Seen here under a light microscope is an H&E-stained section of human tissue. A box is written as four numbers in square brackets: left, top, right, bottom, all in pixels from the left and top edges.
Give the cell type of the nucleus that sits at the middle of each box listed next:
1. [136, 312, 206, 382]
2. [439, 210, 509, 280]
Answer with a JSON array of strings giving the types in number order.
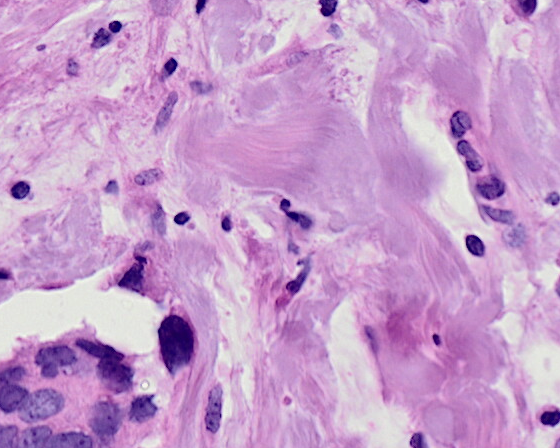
["carcinoma cell", "lymphocyte"]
